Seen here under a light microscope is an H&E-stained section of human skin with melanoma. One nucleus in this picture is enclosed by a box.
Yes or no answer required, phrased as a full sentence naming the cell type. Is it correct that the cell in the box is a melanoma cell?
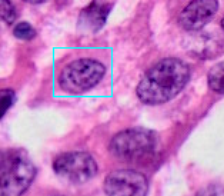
Yes, the cell in the box is correctly named as a melanoma cell.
